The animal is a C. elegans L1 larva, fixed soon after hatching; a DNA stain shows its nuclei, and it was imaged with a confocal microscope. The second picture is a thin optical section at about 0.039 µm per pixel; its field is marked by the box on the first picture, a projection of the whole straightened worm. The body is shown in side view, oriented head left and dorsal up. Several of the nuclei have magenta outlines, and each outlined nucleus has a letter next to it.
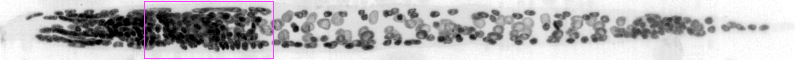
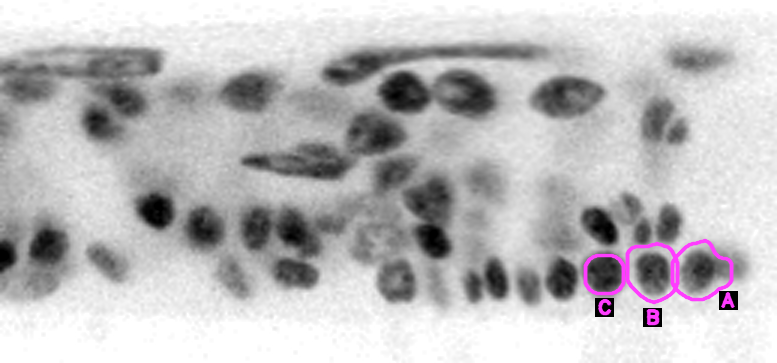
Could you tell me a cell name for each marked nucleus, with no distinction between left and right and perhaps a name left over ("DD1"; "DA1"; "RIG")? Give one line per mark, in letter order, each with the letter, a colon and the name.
A: DA1
B: RIG
C: DD1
